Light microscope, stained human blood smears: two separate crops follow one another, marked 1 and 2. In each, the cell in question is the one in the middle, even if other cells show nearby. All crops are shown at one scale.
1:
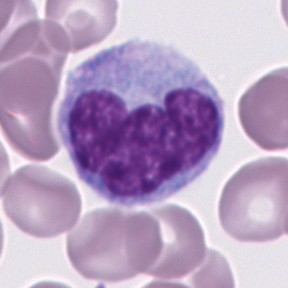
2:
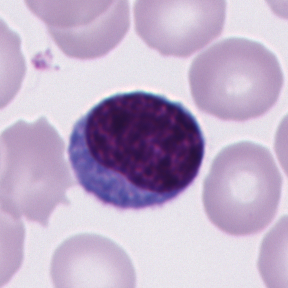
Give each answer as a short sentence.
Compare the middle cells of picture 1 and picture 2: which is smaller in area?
Picture 2 holds the smaller cell, since the cell in picture 1 covers about 1.5 times as much area.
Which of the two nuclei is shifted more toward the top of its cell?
The nucleus in picture 2 lies further toward the top of its cell.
